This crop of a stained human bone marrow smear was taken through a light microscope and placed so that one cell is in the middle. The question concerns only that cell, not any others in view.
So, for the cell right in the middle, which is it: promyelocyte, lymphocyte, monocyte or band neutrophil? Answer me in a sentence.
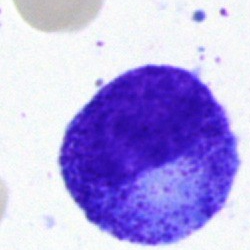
The cell around which this crop is centred is a promyelocyte.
